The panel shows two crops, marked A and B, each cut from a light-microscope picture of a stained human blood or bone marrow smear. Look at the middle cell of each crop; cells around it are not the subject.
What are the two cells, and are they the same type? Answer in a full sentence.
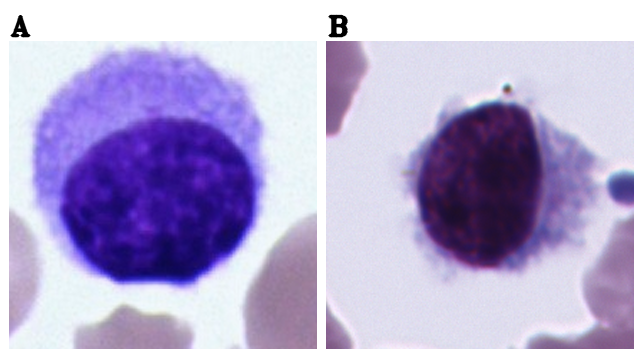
Yes, the cells in the centres of the two crops are hairy cells.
